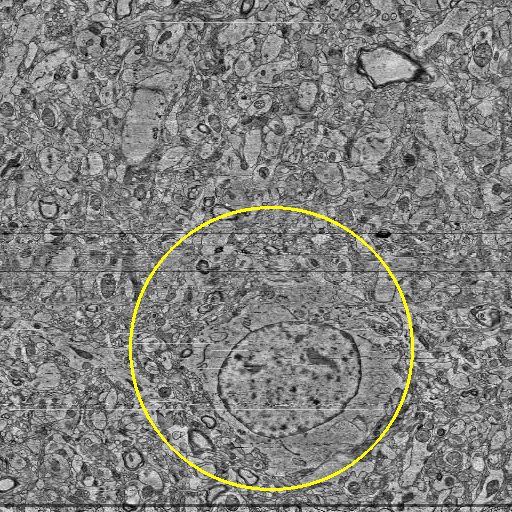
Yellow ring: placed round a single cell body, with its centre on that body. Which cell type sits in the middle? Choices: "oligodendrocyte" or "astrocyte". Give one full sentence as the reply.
It is an astrocyte whose cell body sits at the centre of the yellow ring.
